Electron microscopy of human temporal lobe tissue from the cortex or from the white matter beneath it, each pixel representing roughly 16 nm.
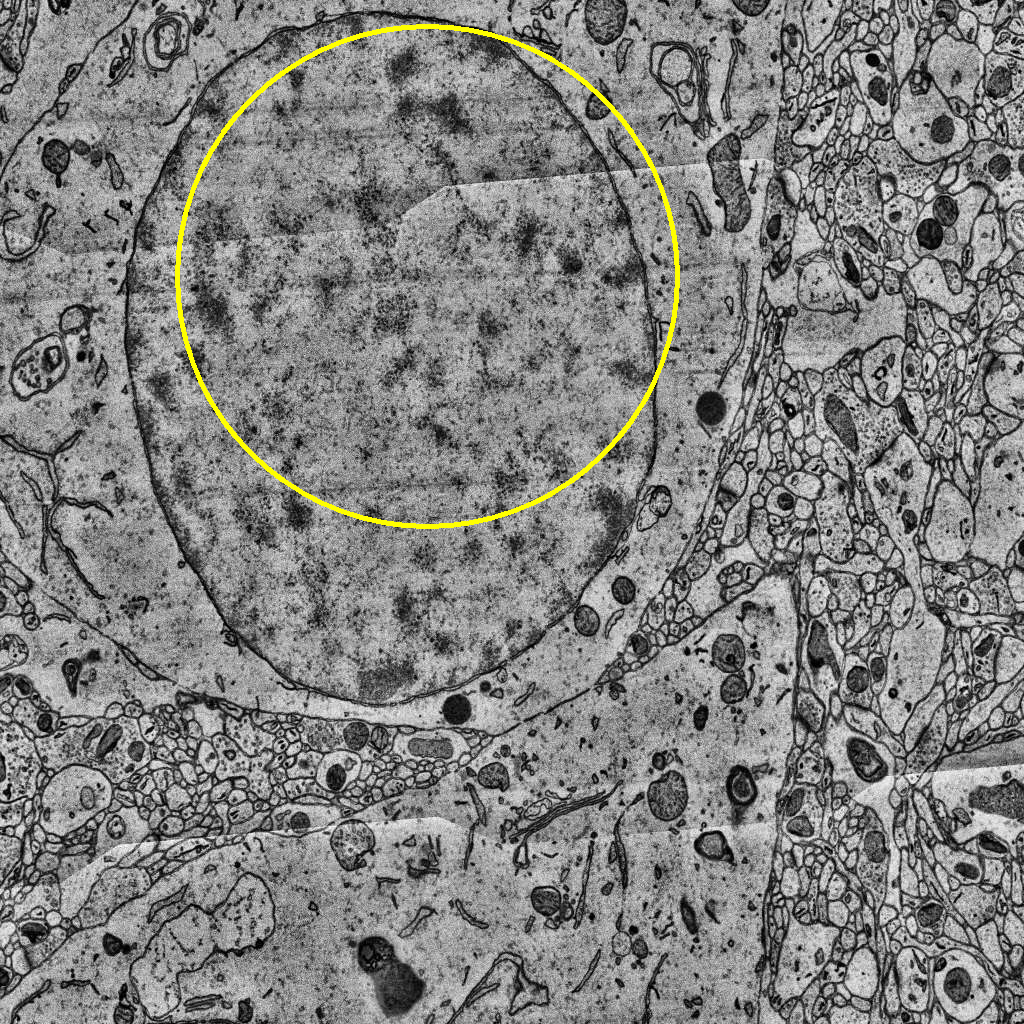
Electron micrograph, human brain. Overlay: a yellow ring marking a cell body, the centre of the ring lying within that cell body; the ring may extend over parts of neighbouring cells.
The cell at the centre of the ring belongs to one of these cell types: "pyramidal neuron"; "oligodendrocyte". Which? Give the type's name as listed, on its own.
pyramidal neuron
